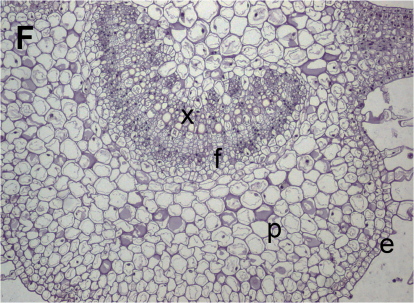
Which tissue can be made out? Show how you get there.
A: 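A bulging midrib with an arc-shaped vascular bundle. A thin flat blade extends from the upper right side of the midrib.
Leaves.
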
